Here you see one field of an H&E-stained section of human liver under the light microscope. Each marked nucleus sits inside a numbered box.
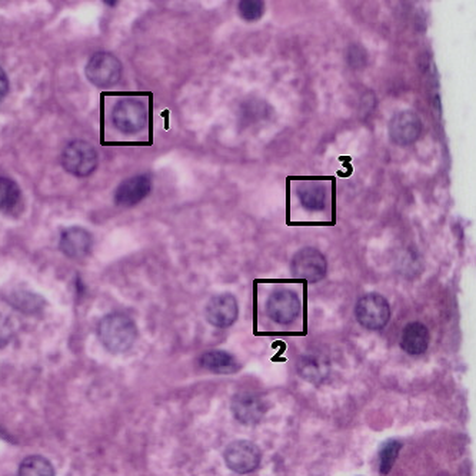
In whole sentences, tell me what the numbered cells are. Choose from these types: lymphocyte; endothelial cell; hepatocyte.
Cell 1 is a hepatocyte, cell 2 is a hepatocyte and cell 3 is an endothelial cell.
